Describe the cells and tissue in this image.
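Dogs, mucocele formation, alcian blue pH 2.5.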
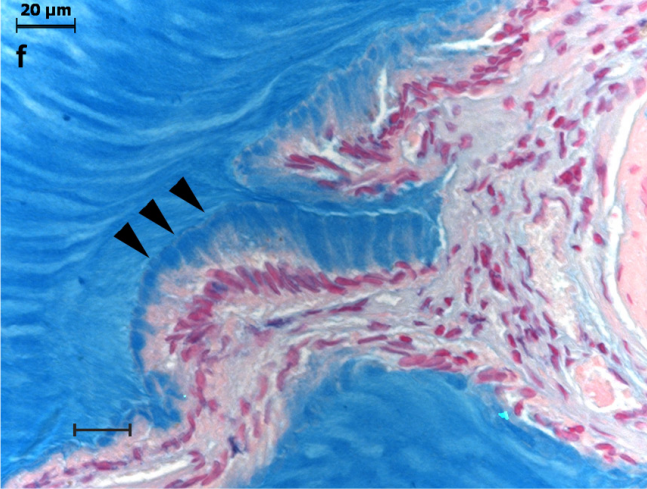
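A fold of gallbladder mucosa projects into a mass of pale-to-deep blue material. The fold is lined by a single layer of tall columnar epithelial cells with elongated pink-red nuclei at their bases and pale, bluish apical cytoplasm. Beneath lies loose connective tissue with scattered spindle-shaped nuclei.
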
